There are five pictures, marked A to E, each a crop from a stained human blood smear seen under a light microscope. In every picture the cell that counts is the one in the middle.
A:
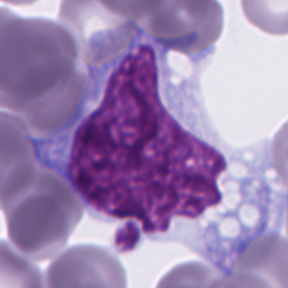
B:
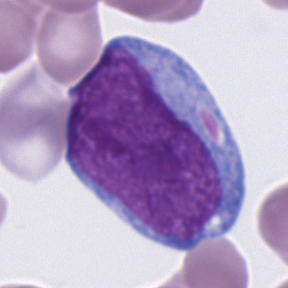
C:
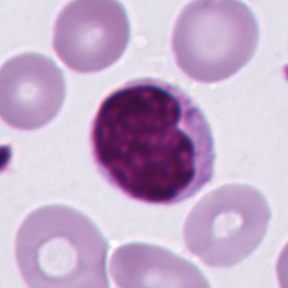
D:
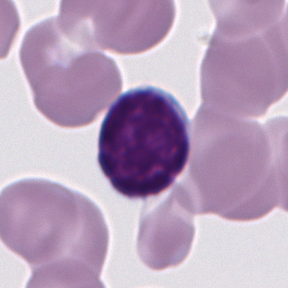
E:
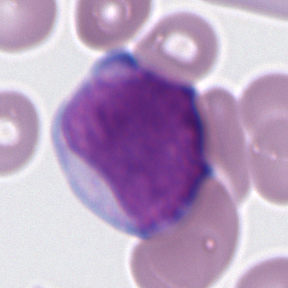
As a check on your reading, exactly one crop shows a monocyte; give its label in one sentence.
Of the crops given, a monocyte is found in crop A.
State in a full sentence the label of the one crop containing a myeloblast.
The crop in which a myeloblast is shown is crop B.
